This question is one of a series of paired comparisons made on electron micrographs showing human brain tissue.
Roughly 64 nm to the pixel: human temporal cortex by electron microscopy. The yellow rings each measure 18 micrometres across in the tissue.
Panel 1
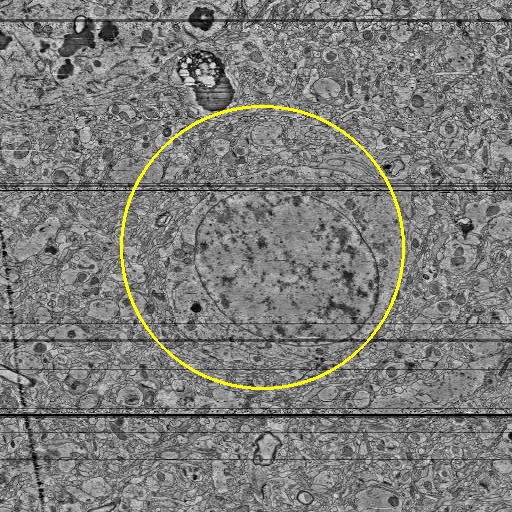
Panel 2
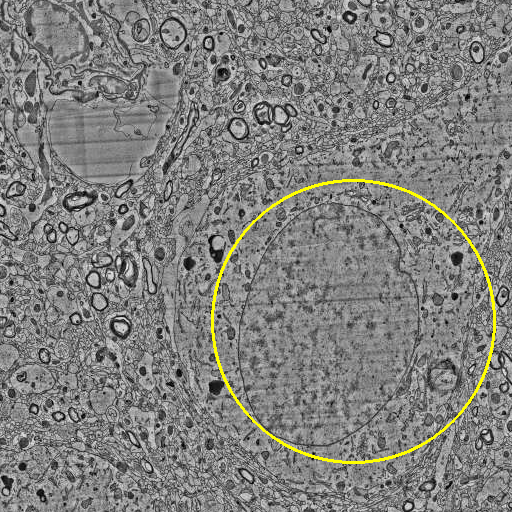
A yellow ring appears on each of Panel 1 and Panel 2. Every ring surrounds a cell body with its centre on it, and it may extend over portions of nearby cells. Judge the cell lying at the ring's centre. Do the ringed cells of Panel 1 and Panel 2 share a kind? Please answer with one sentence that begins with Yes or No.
Yes, the ring-centre cell in Panel 1 and the one in Panel 2 are of one kind.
